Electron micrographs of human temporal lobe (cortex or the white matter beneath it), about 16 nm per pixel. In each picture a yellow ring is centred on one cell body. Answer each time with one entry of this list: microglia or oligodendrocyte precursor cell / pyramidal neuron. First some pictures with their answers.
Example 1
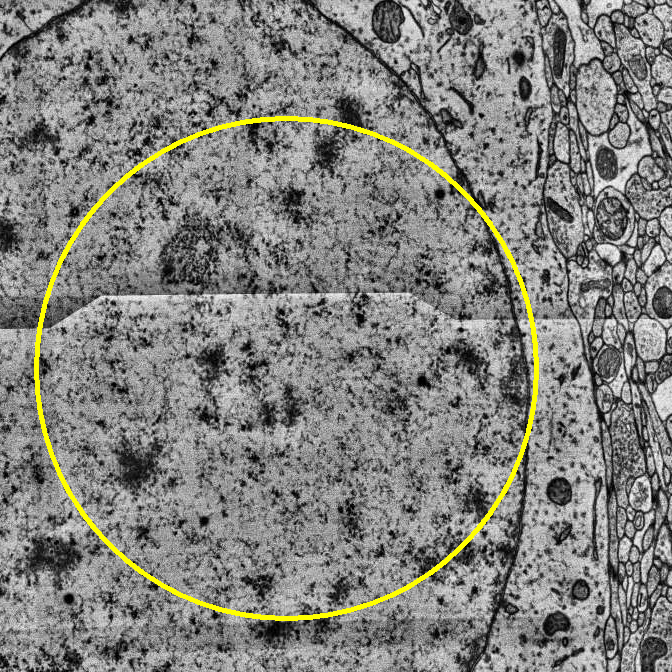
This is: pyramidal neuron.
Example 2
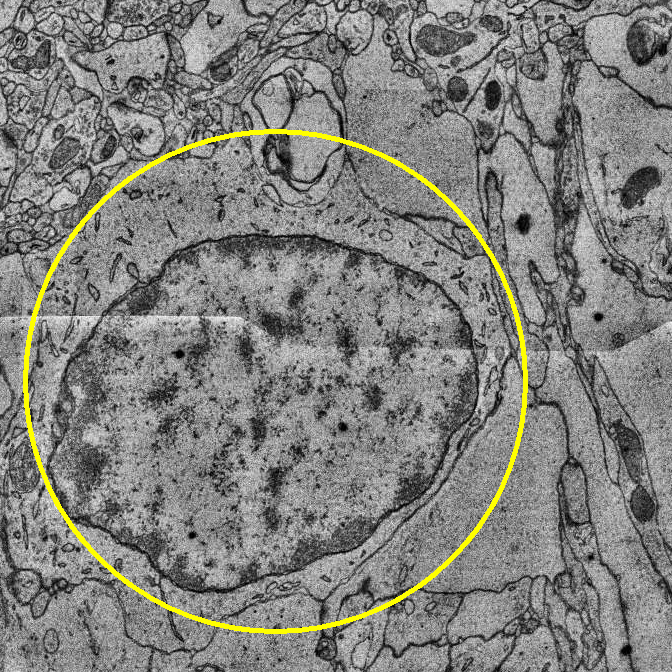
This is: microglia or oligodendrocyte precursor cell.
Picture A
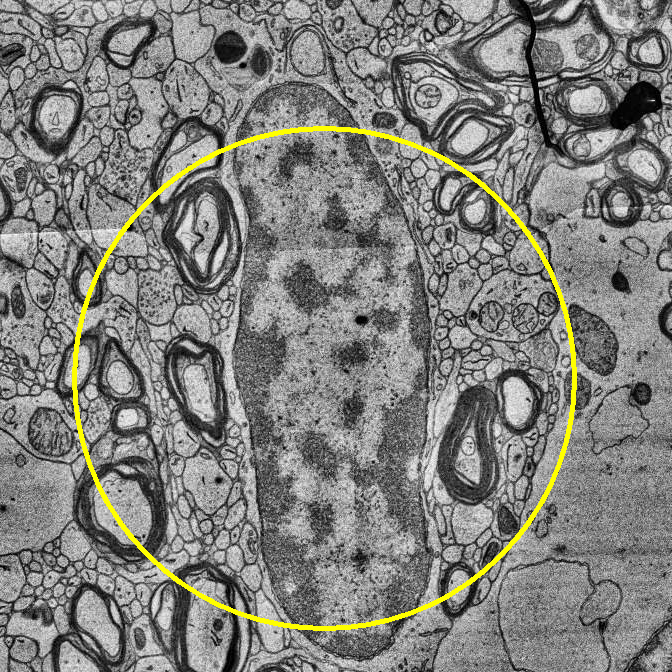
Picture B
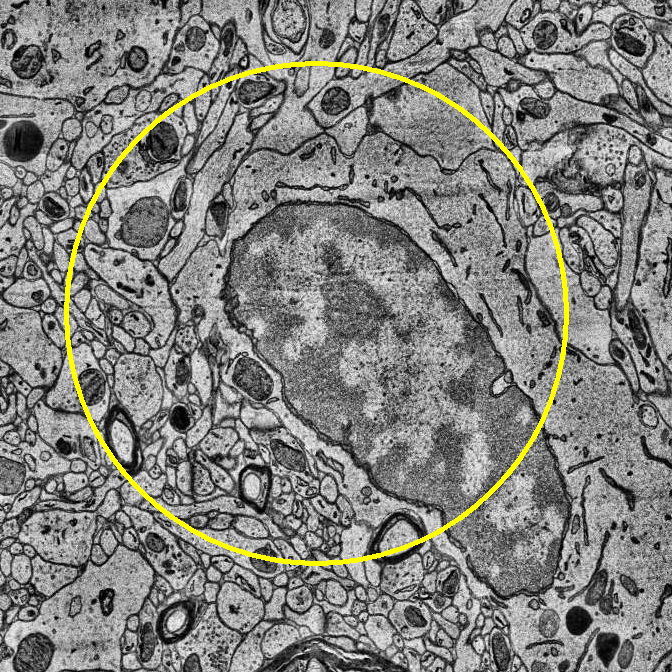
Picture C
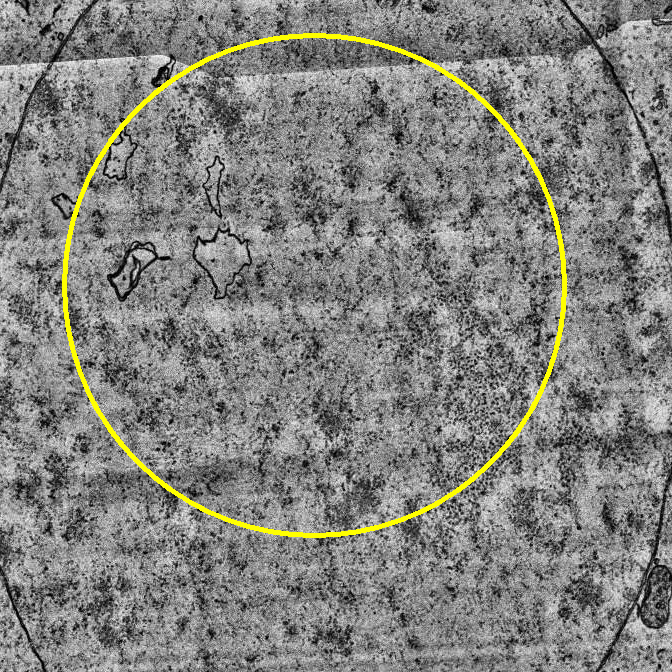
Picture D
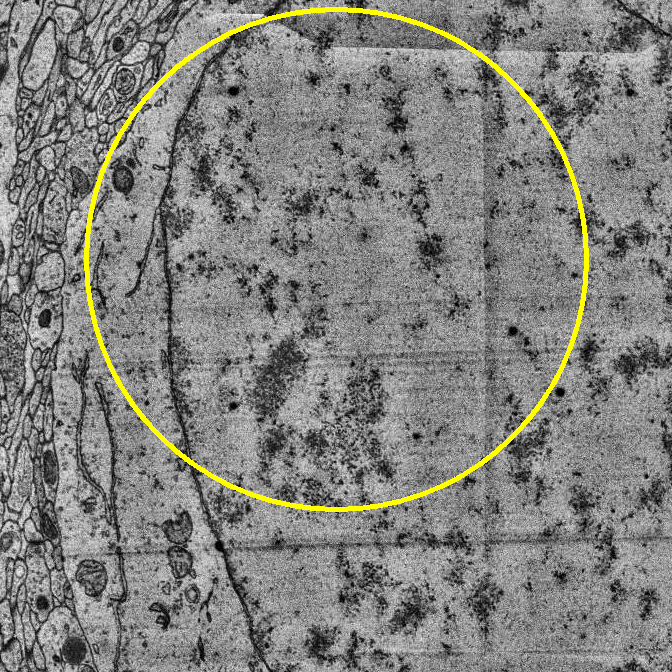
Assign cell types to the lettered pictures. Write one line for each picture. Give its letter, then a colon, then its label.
A: microglia or oligodendrocyte precursor cell.
B: microglia or oligodendrocyte precursor cell.
C: pyramidal neuron.
D: pyramidal neuron.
